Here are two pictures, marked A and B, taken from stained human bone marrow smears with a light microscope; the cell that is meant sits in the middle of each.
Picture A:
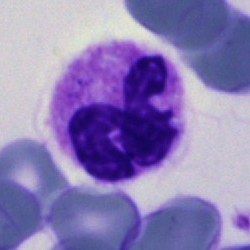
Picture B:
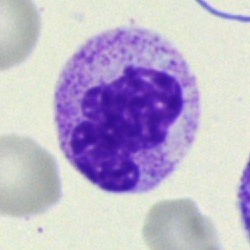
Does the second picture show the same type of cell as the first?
yes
